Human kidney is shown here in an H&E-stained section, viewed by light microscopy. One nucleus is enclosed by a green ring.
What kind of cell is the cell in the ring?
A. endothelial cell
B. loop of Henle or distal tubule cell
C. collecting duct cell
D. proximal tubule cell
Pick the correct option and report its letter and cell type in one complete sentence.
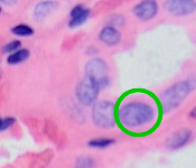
Option C is right, and the cell in the ring is a collecting duct cell.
